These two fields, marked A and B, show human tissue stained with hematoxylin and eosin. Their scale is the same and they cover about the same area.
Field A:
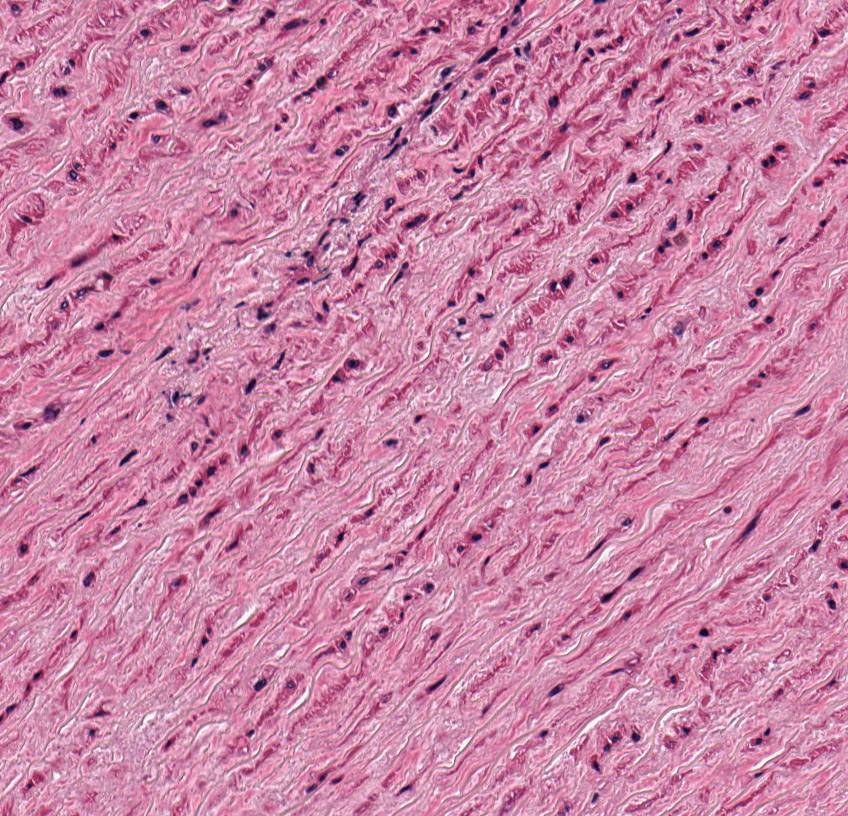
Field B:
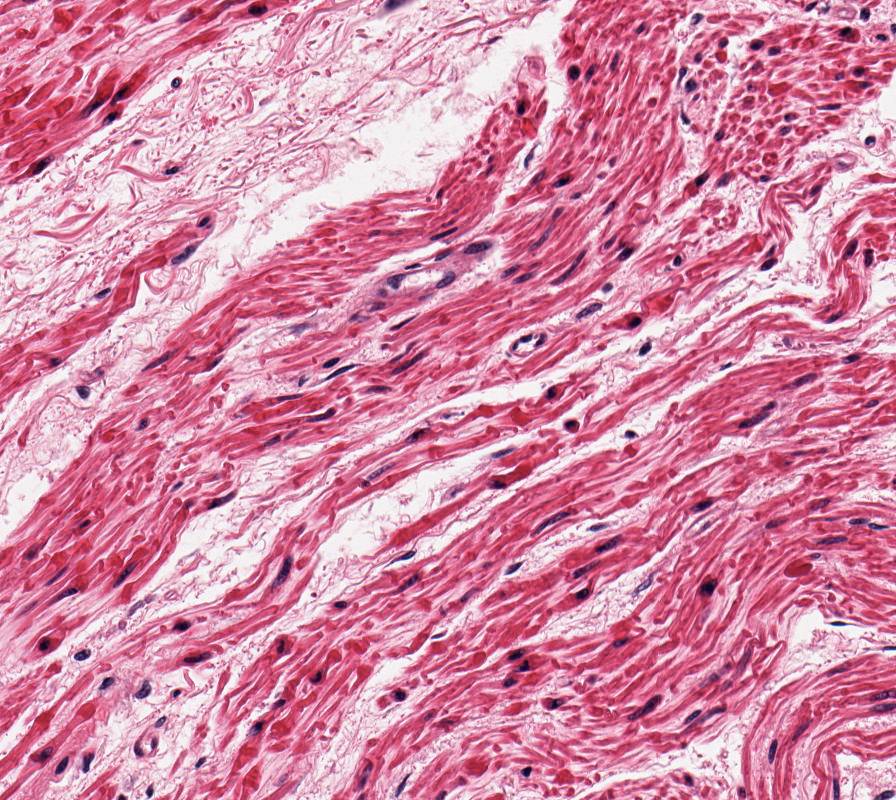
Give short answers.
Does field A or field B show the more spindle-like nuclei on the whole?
B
